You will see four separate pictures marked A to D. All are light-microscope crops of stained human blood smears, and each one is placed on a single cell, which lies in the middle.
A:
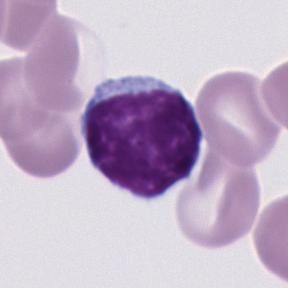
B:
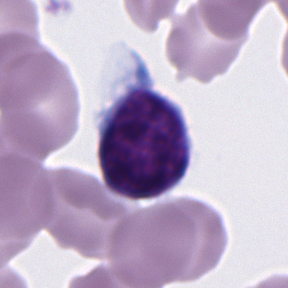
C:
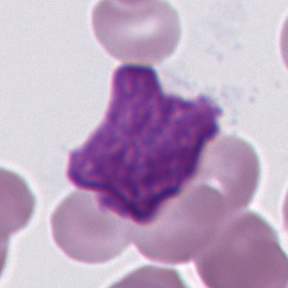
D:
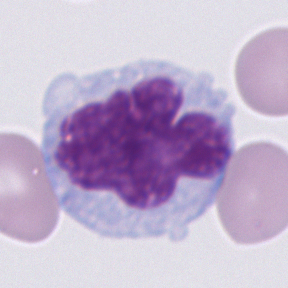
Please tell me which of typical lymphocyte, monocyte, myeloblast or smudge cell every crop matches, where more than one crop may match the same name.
A: typical lymphocyte
B: typical lymphocyte
C: smudge cell
D: monocyte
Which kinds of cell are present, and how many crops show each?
typical lymphocyte: 2
smudge cell: 1
monocyte: 1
